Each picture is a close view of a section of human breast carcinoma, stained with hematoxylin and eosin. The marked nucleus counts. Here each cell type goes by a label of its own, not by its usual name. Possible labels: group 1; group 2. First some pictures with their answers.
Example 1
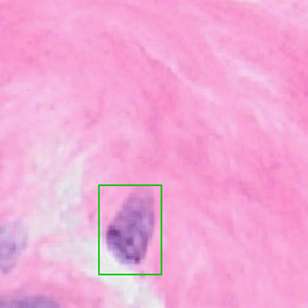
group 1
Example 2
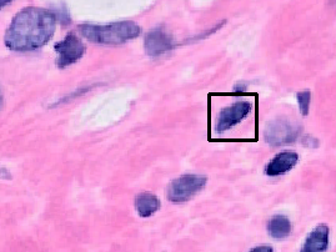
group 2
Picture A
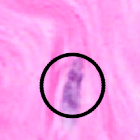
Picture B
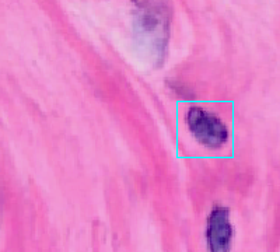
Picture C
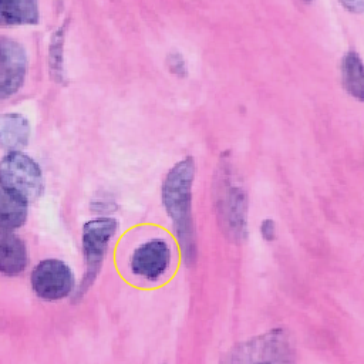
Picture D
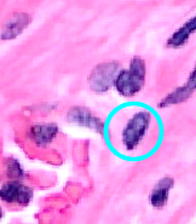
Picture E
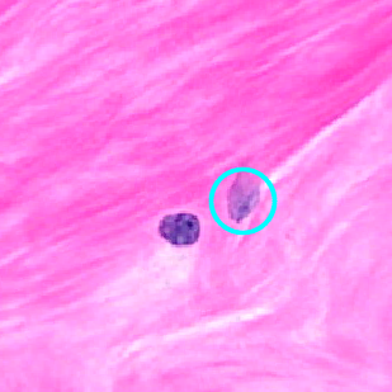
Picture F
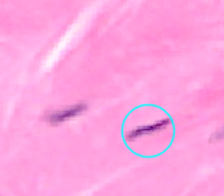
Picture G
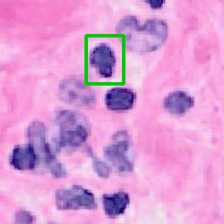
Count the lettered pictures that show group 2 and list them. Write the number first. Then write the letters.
4: B, C, D, G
